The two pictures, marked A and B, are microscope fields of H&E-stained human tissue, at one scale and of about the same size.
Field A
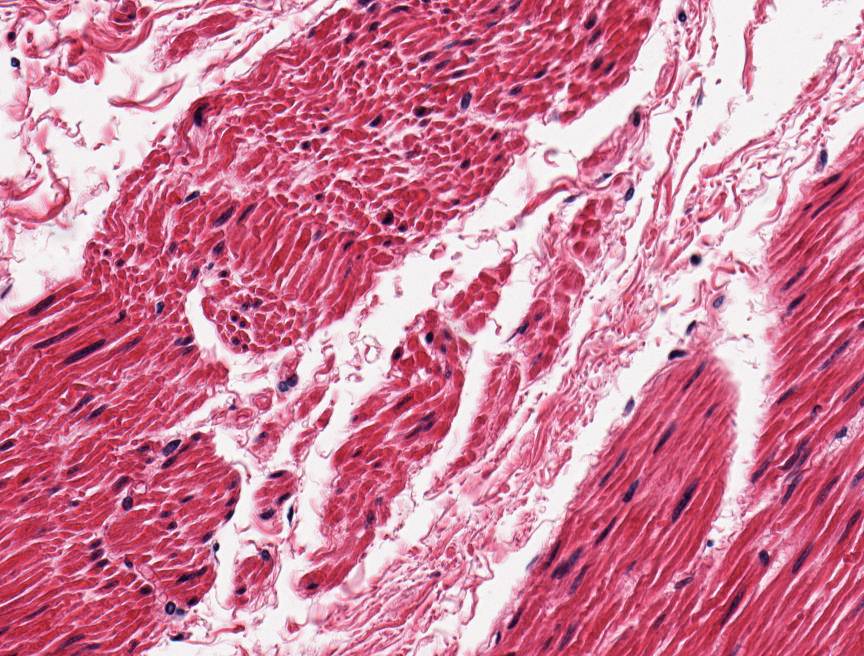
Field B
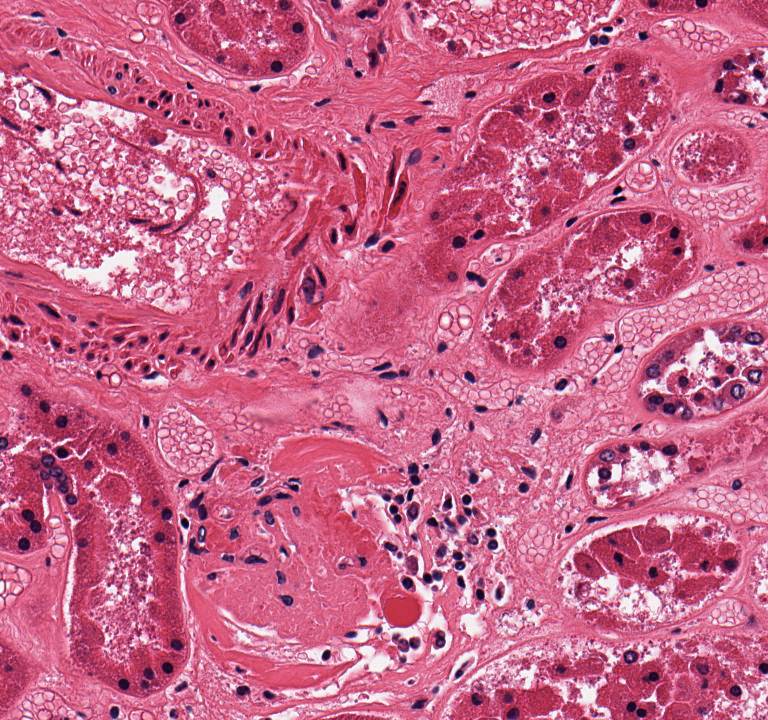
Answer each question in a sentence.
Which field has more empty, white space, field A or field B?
It is field A in which white space covers the larger part.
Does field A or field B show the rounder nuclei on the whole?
Rounder nuclei lie in field B.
